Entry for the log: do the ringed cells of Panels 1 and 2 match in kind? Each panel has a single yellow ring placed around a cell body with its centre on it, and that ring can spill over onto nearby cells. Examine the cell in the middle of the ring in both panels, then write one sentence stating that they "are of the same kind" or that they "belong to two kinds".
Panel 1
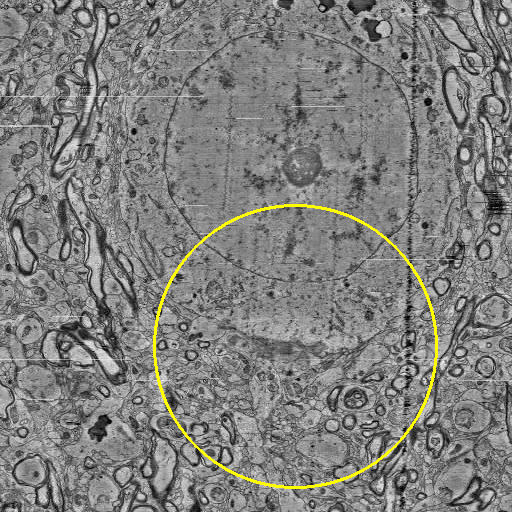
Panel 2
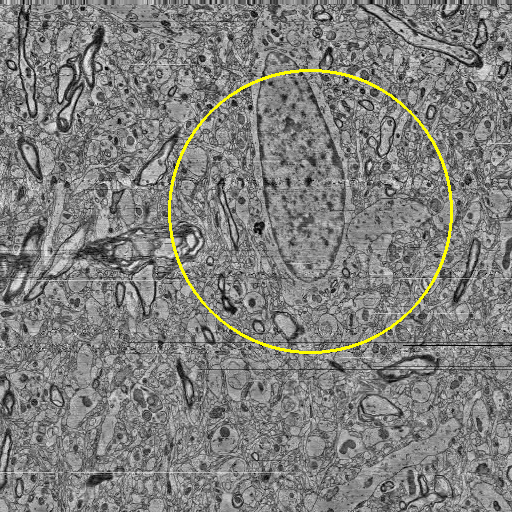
The centre cell of Panel 1's ring and that of Panel 2's ring are of the same kind.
